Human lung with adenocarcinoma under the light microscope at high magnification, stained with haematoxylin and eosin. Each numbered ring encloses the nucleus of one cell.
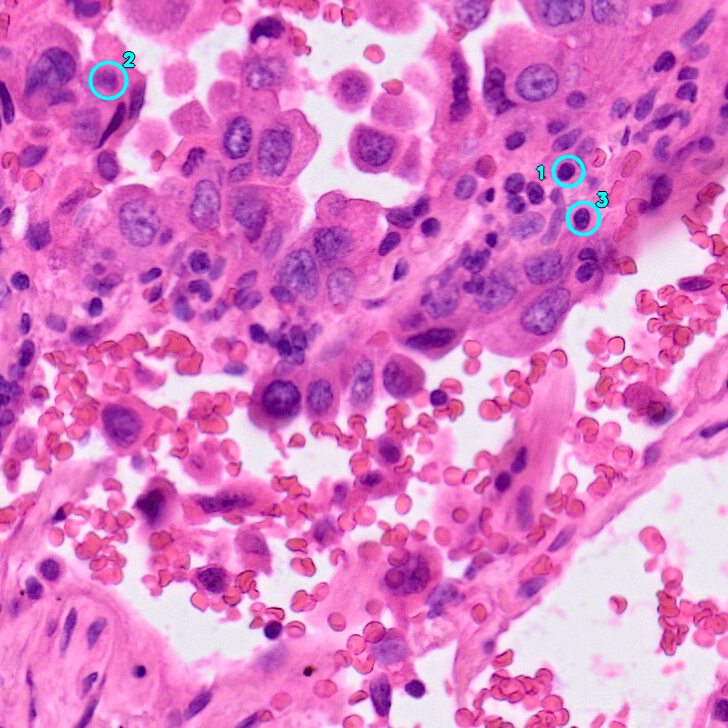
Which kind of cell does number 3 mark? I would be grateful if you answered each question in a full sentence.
The cell identified by the number 3 is a lymphocyte.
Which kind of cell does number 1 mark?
The cell marked with the number 1 is a lymphocyte.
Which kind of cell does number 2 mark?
The cell pointed out as number 2 is a carcinoma cell.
